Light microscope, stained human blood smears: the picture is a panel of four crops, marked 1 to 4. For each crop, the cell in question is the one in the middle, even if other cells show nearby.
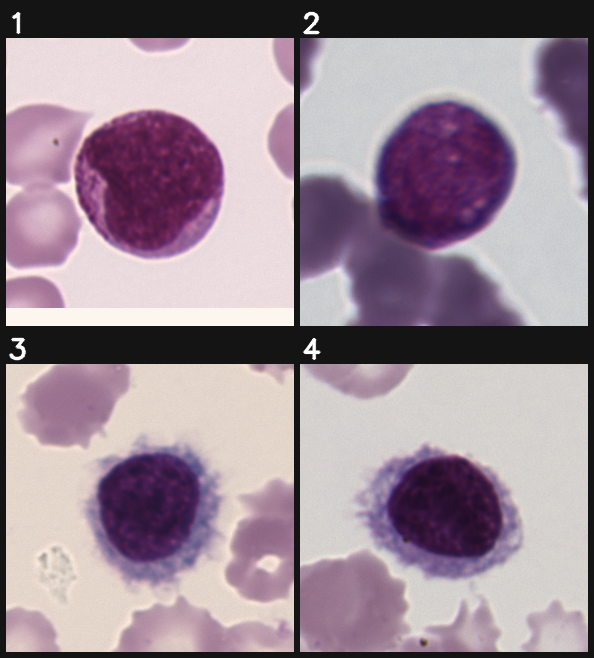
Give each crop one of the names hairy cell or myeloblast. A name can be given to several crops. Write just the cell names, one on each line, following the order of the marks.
myeloblast
myeloblast
hairy cell
hairy cell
